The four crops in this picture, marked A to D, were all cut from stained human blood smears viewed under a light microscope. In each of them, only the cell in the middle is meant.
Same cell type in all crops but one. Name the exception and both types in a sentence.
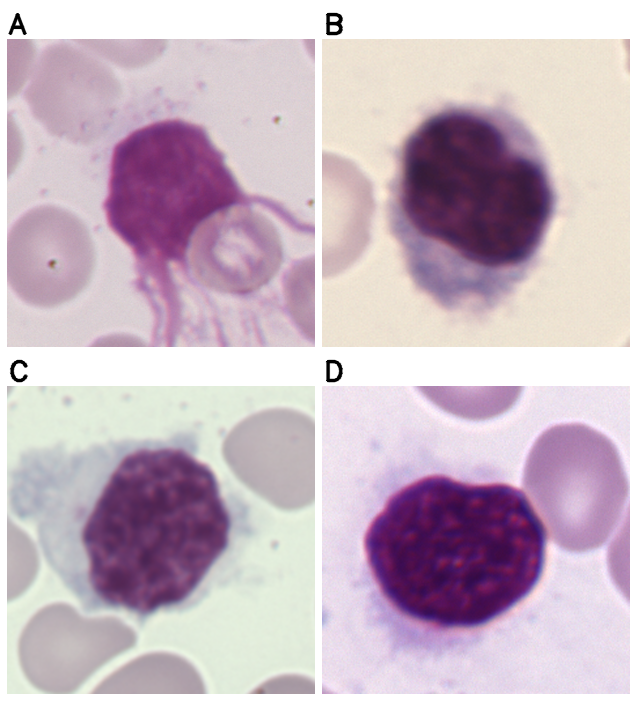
Only one crop differs, namely crop A, which is a smudge cell; the others show hairy cells.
